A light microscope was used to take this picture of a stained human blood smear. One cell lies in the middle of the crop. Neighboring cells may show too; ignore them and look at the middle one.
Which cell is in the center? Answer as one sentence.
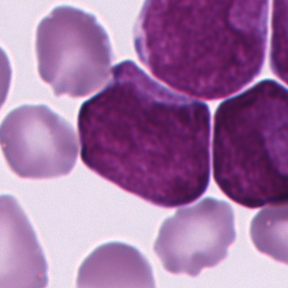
This crop's central cell is a myeloblast.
